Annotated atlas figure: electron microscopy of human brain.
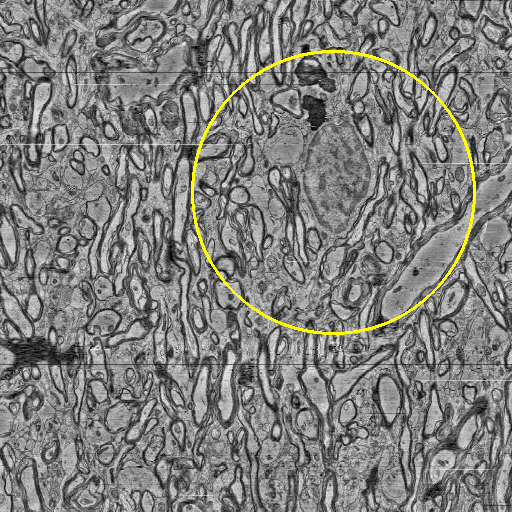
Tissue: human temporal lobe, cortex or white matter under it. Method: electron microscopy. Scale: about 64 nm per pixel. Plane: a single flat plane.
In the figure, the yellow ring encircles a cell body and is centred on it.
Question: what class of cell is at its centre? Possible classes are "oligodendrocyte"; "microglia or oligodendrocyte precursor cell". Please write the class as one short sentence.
The yellow ring is drawn around an oligodendrocyte.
